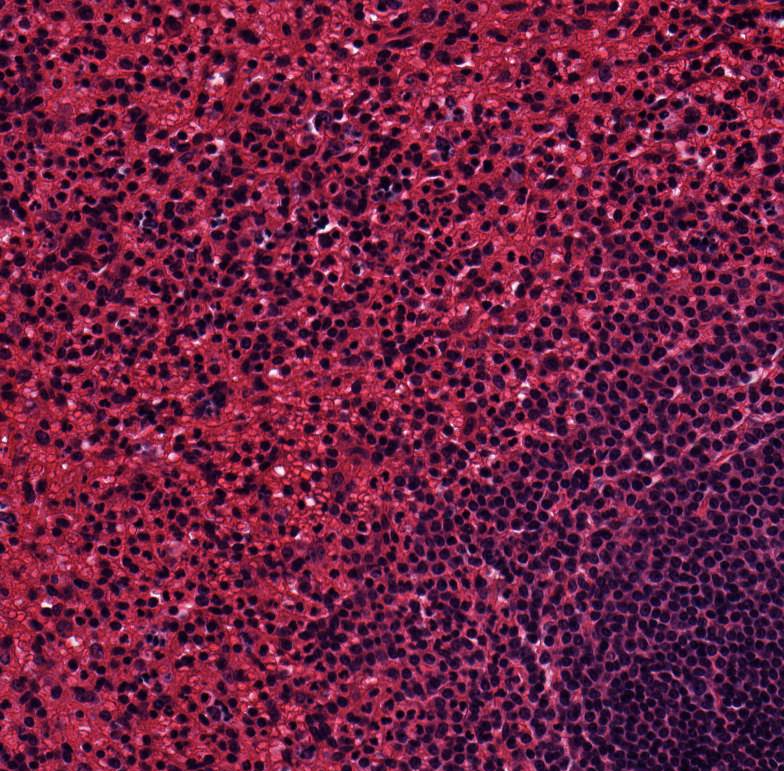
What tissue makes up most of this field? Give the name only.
red pulp of the spleen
